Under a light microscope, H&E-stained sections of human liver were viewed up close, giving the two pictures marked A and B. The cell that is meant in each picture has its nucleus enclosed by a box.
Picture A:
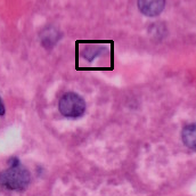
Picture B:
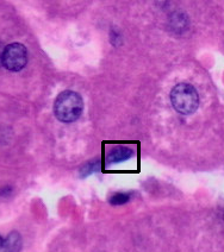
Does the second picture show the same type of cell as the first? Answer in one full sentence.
No. Picture A shows an endothelial cell, but picture B shows a “fibroblast or stellate cell”.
